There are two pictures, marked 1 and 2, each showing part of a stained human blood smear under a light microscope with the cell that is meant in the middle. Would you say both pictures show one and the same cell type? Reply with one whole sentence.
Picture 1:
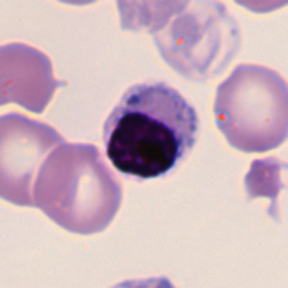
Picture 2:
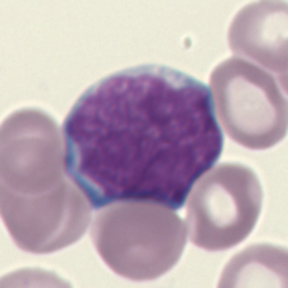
No, the types are not the same, since picture 1 shows a normoblast and picture 2 a myeloblast.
